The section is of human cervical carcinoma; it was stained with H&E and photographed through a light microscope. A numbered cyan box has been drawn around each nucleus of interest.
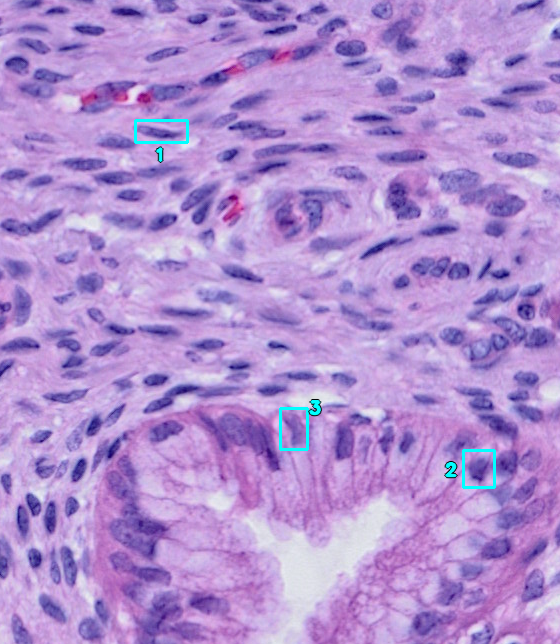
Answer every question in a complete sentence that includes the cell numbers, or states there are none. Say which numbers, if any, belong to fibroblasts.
A single numbered cell, cell 1, is a fibroblast.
